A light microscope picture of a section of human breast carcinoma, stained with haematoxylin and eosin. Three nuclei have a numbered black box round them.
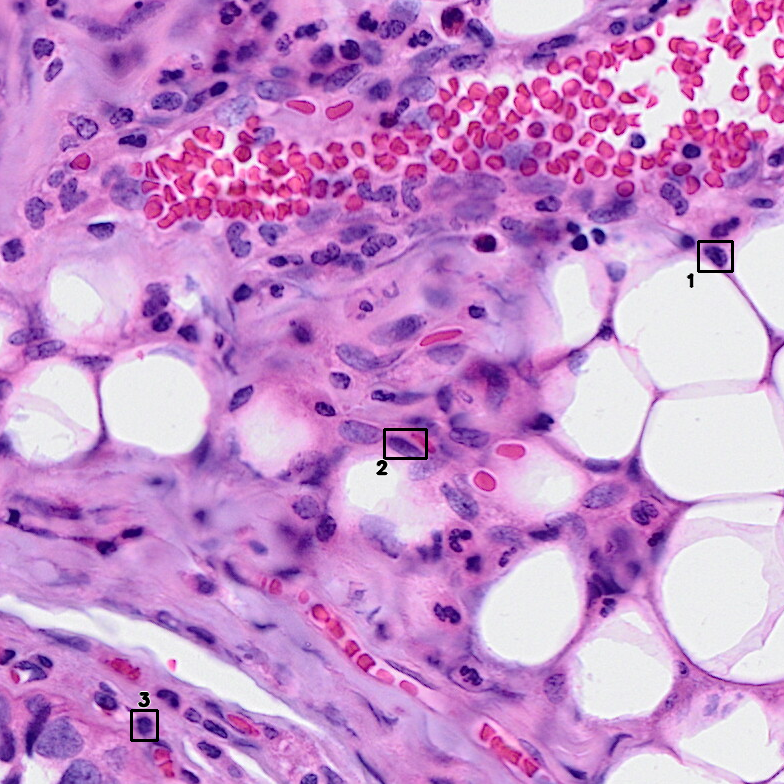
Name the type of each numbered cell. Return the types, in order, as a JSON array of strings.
["lymphocyte", "endothelial cell", "mast cell"]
